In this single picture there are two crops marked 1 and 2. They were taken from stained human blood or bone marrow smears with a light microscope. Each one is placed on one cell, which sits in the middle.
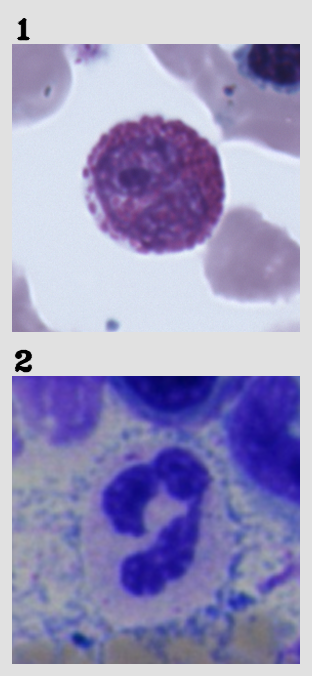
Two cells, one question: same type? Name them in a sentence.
No; crop 1 is an eosinophil, while crop 2 is a segmented neutrophil.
